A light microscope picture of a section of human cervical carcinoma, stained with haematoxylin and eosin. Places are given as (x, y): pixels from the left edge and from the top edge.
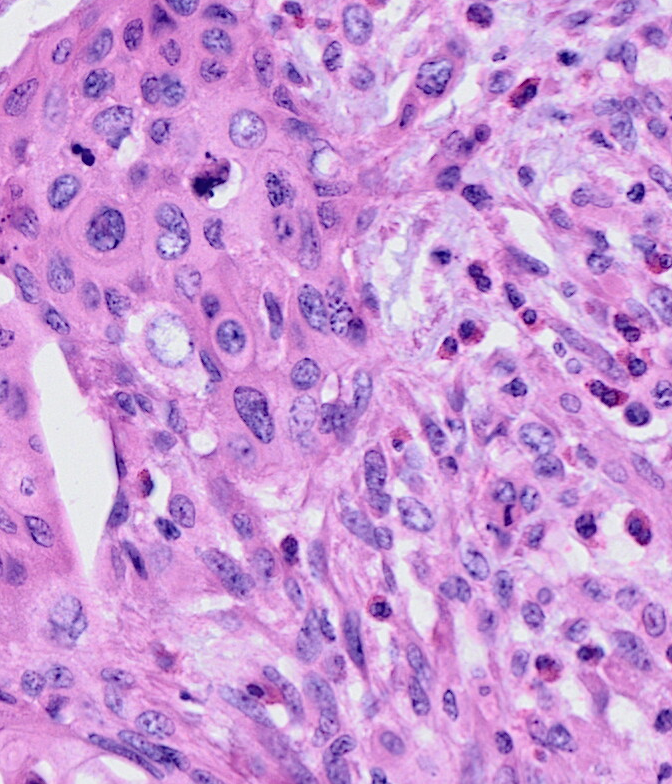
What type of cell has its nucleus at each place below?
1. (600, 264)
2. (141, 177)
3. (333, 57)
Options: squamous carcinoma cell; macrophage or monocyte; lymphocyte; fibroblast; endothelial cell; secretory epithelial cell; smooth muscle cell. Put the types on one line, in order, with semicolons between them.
macrophage or monocyte; squamous carcinoma cell; macrophage or monocyte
